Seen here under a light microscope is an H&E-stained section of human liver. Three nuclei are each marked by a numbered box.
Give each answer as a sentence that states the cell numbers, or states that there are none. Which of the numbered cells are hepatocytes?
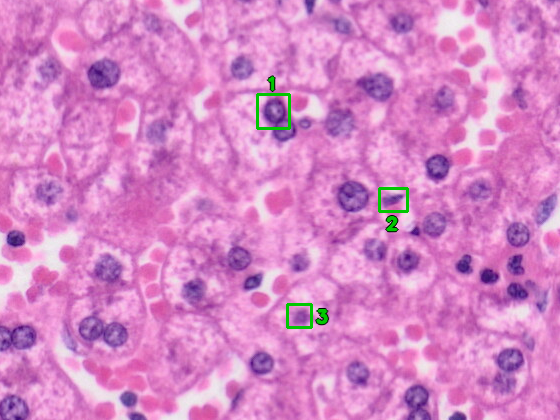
The cells identified by the numbers 1 and 3 are hepatocytes.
